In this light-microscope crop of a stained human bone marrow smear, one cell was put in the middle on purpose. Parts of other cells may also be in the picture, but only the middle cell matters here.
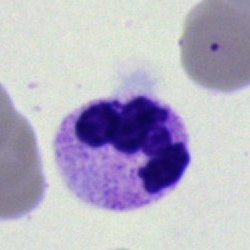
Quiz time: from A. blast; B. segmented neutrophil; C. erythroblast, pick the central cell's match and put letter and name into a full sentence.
The cell placed in the middle is a segmented neutrophil; option B is correct.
